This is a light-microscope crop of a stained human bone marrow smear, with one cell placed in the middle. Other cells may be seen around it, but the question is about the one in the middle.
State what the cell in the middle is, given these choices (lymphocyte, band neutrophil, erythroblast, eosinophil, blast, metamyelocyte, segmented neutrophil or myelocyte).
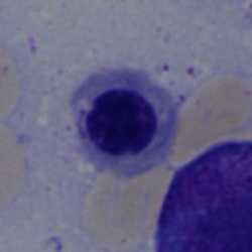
erythroblast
